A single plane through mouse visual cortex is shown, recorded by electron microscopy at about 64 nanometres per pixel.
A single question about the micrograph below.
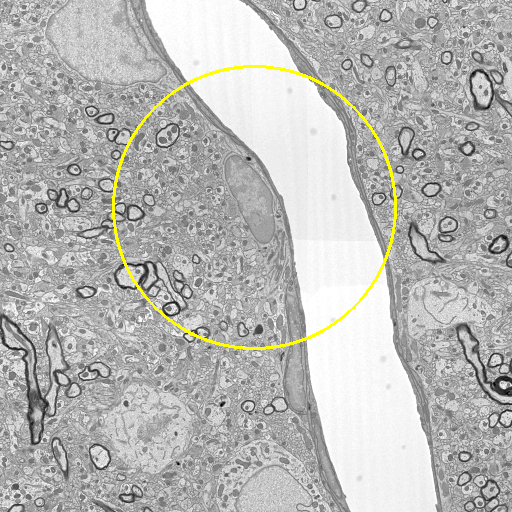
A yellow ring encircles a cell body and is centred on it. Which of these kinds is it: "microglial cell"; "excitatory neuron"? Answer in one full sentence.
The cell body at the centre of the yellow ring belongs to a microglial cell.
